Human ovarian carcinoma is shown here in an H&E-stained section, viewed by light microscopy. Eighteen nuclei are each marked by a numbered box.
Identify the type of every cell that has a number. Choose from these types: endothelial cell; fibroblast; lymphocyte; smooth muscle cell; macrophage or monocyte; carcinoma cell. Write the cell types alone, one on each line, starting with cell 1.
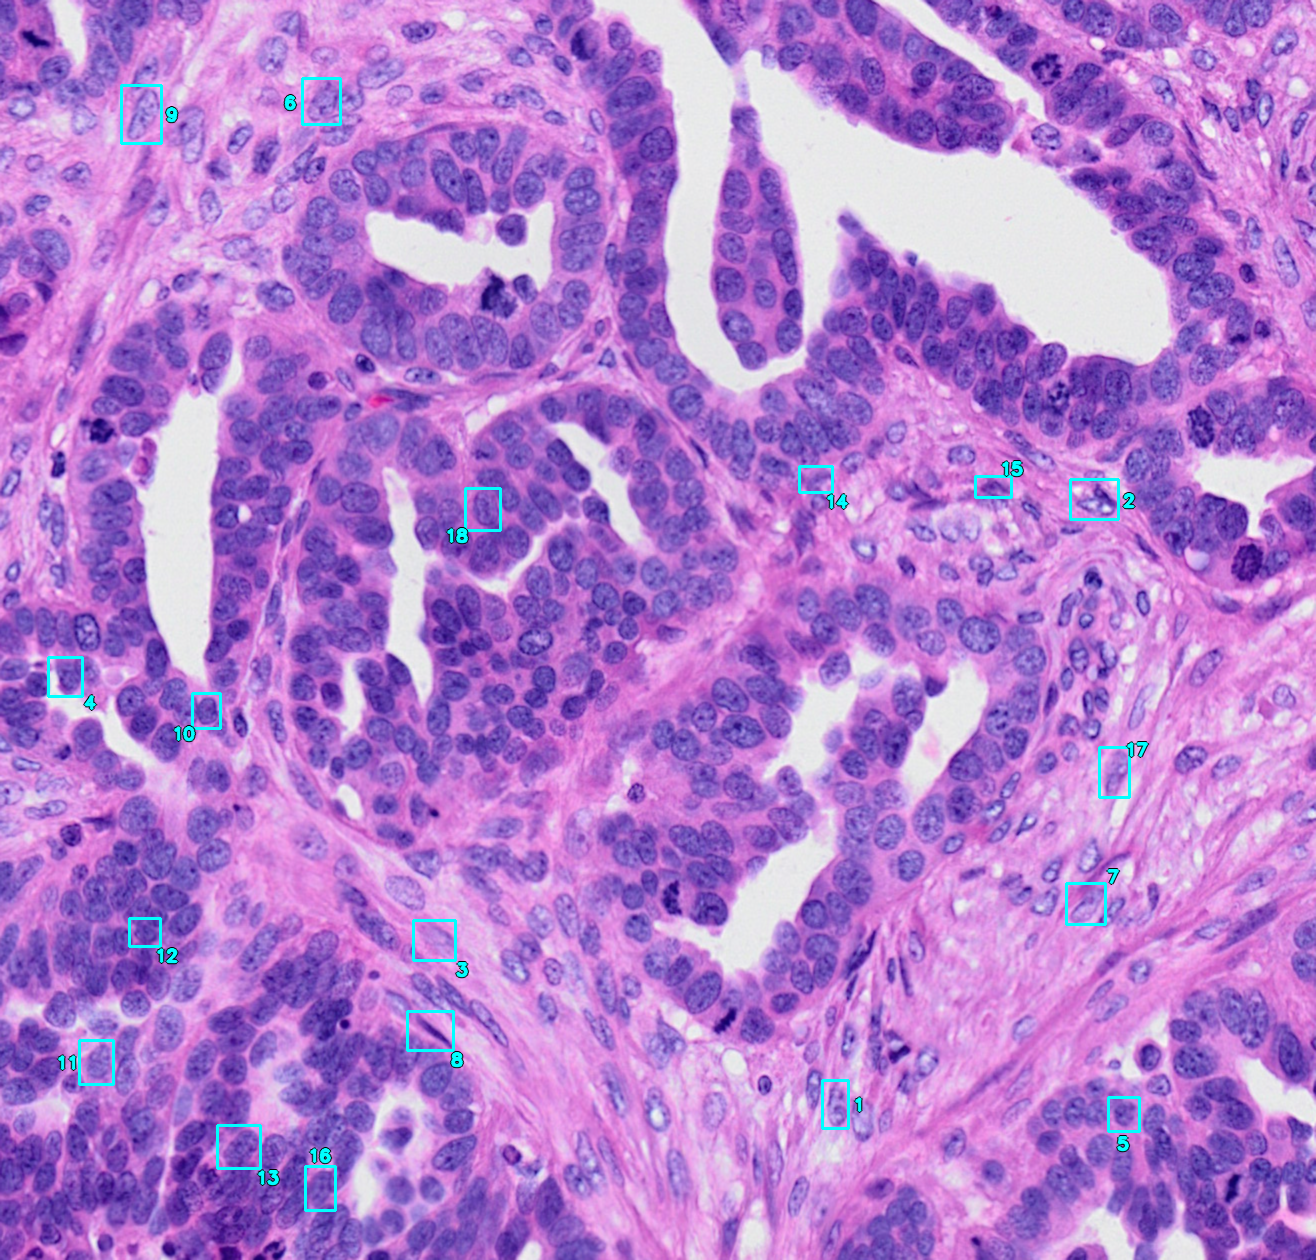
fibroblast
fibroblast
fibroblast
carcinoma cell
carcinoma cell
fibroblast
fibroblast
fibroblast
fibroblast
carcinoma cell
carcinoma cell
carcinoma cell
carcinoma cell
fibroblast
fibroblast
carcinoma cell
fibroblast
carcinoma cell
